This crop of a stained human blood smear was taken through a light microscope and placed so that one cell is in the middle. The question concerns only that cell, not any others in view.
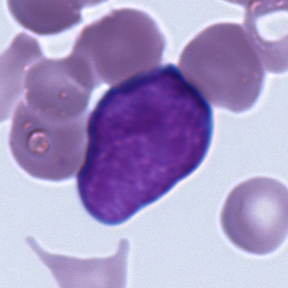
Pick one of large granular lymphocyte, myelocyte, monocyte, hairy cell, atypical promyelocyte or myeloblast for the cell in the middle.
myeloblast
